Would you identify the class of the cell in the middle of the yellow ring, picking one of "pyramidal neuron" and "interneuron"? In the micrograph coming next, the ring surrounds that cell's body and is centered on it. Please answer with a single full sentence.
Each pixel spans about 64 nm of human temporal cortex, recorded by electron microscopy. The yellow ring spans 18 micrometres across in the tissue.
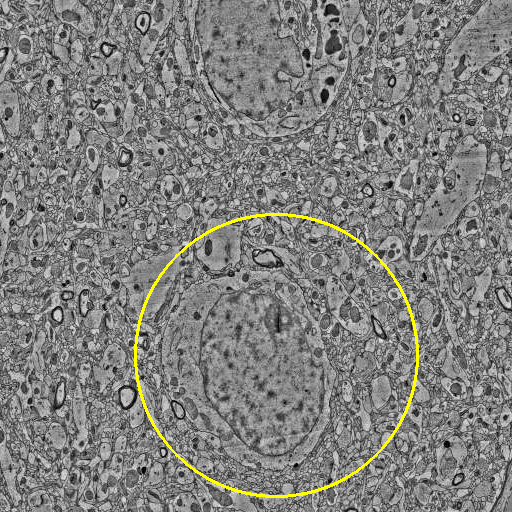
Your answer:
In the micrograph, it is an interneuron whose body lies at the ring's center.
